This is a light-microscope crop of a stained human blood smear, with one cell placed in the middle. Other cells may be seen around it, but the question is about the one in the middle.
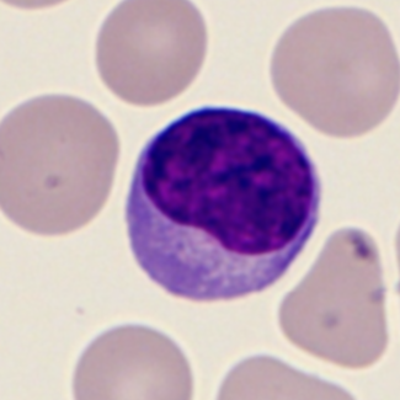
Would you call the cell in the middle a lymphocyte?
yes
